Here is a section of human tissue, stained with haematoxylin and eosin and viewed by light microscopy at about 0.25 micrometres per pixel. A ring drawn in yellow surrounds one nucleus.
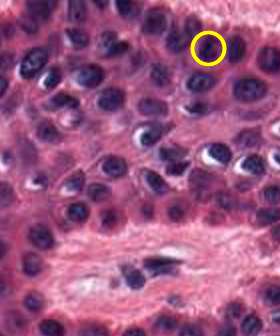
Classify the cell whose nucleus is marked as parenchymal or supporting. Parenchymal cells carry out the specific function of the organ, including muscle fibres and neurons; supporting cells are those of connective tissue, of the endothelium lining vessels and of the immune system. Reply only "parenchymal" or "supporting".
parenchymal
